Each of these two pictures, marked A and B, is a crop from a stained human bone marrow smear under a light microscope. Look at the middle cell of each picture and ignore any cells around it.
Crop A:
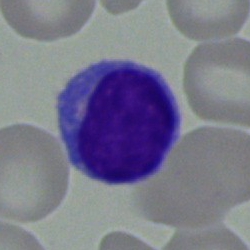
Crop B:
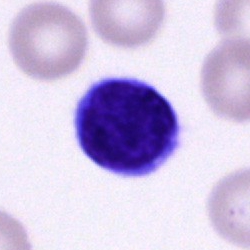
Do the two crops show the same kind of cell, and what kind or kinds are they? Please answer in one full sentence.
Yes, both of the crops in this pair show lymphocytes, one cell in each crop.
